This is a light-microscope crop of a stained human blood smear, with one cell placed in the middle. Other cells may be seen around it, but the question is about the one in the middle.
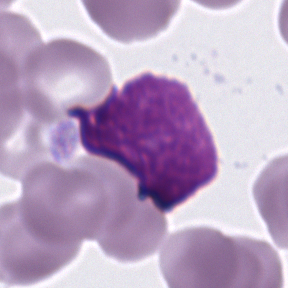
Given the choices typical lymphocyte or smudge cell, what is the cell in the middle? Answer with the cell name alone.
smudge cell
